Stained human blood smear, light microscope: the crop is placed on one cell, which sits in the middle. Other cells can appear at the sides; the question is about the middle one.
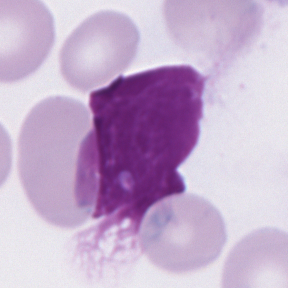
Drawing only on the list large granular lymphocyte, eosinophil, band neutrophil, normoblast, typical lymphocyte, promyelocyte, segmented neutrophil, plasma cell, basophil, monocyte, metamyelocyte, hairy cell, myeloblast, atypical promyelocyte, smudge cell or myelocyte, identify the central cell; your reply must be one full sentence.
The middle position in this crop is taken by a smudge cell.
